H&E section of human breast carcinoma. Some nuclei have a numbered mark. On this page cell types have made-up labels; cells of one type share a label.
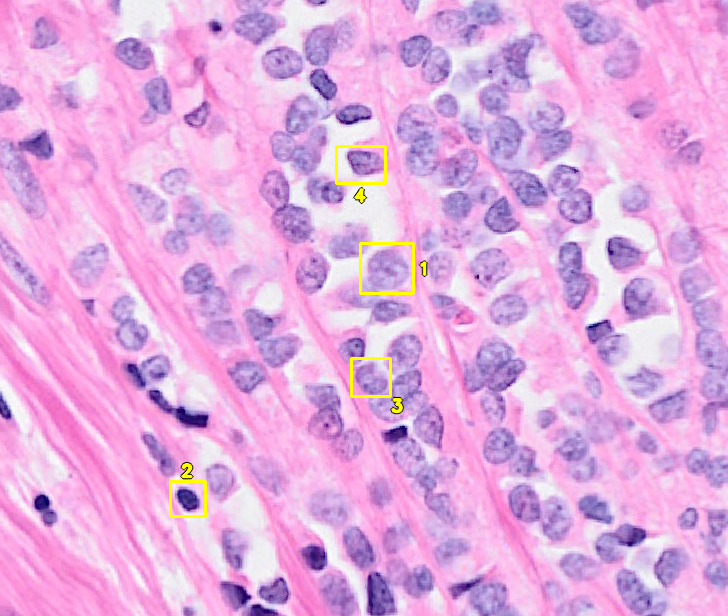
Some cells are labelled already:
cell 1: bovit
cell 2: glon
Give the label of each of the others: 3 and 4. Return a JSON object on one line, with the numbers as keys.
{"3": "bovit", "4": "bovit"}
